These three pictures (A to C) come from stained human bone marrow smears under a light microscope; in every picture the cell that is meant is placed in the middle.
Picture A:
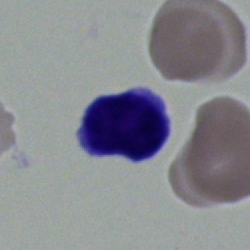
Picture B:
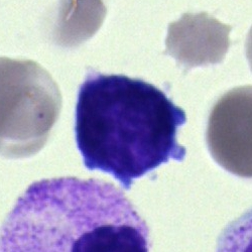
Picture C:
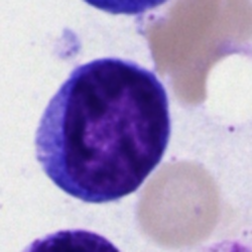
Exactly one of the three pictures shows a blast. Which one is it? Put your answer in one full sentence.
The blast is the one in picture C.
